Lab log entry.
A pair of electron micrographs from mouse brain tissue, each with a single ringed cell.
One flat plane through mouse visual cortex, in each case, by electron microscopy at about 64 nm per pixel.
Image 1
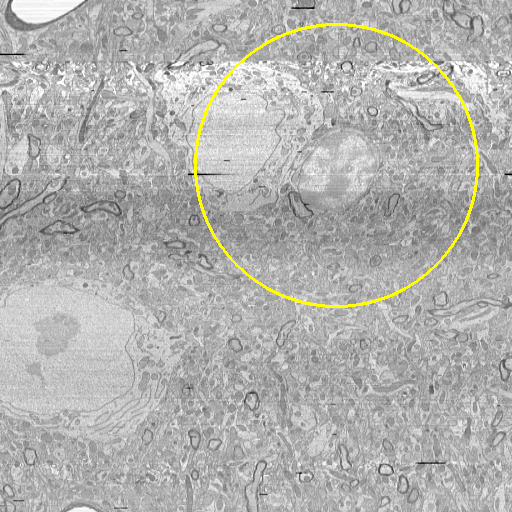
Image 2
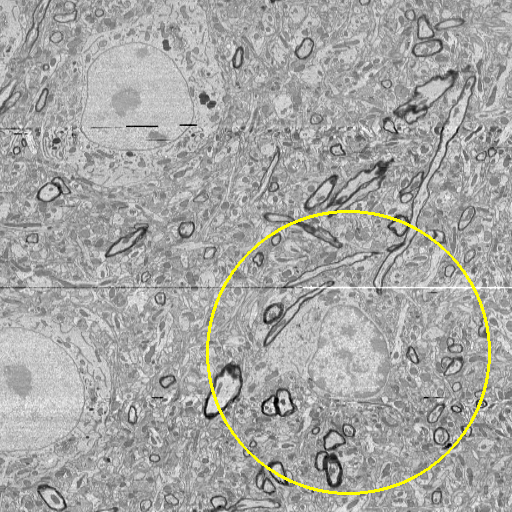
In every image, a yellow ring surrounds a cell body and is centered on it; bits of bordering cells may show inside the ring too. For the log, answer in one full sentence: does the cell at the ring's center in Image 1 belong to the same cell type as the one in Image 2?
Yes, the cells at the ring centers in Image 1 and Image 2 share one type.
